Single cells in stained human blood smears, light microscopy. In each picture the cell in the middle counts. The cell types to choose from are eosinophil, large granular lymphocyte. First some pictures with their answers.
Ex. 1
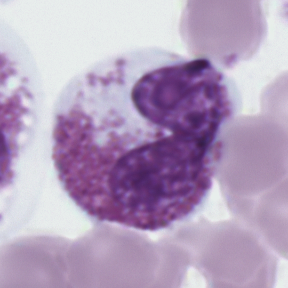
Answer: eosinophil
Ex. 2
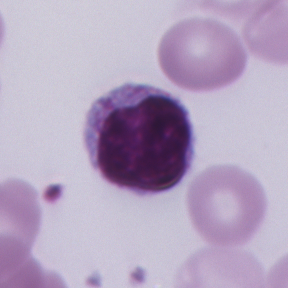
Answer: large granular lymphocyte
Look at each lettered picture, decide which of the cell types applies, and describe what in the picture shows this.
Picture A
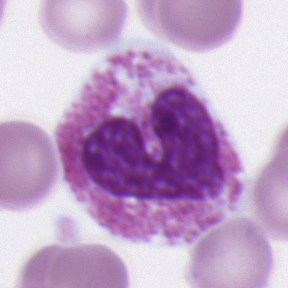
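eosinophil. Reason: Coarse granules fill the cytoplasm all around the nucleus.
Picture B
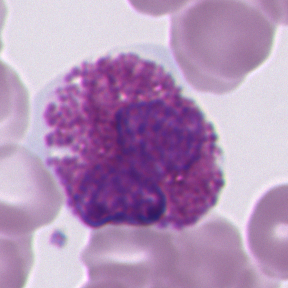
eosinophil. Reason: The cytoplasm is densely packed with coarse dark purple granules.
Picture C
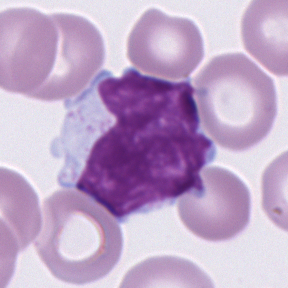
large granular lymphocyte. Reason: A few small reddish-purple granules are scattered in the cytoplasm.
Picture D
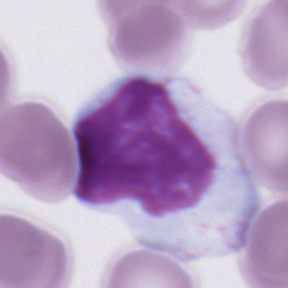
large granular lymphocyte. Reason: A few fine pink-purple granules are scattered sparsely in the cytoplasm.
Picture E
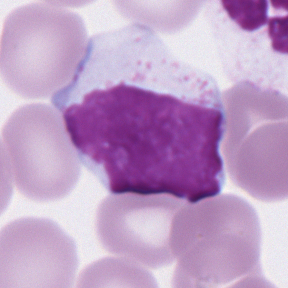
large granular lymphocyte. Reason: Fine reddish-purple granules are scattered in the cytoplasm, mostly just above the nucleus.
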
